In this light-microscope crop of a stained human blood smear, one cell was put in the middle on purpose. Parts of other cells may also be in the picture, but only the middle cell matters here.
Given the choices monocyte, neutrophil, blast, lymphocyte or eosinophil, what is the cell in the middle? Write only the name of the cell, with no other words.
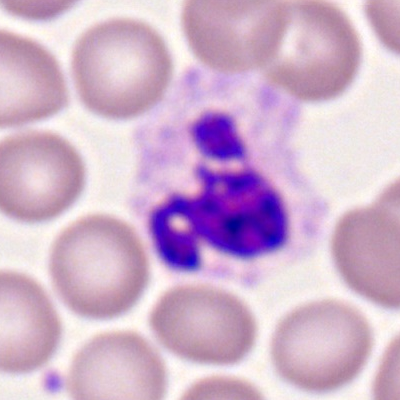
neutrophil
